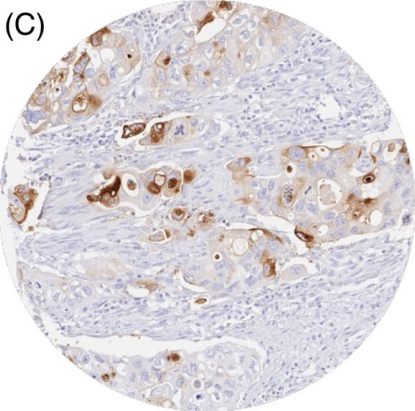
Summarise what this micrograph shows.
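Irregular nests and cords of carcinoma cells infiltrate a fibrous stroma of spindle-shaped cells. Many tumour cells have clear vacuolated cytoplasm, and brown cytoplasmic staining is patchy, confined to a subset of cells while others and the stroma remain blue.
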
